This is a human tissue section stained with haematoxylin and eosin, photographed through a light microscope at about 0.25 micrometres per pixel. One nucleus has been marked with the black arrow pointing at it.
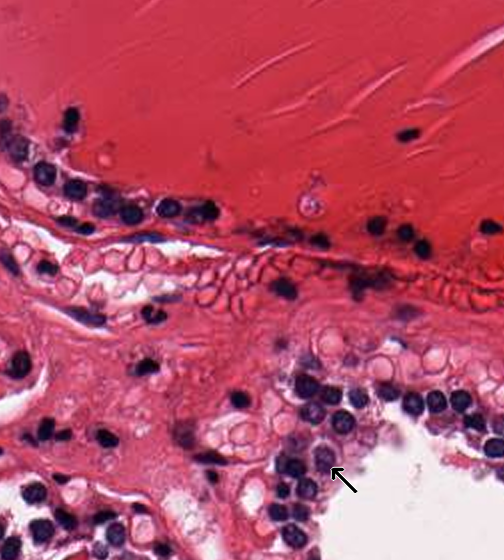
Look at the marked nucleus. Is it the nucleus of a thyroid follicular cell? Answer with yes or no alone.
yes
